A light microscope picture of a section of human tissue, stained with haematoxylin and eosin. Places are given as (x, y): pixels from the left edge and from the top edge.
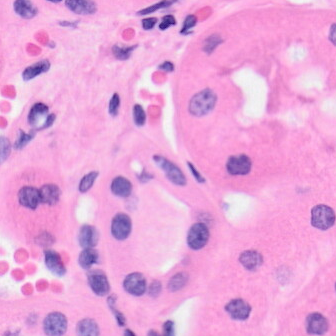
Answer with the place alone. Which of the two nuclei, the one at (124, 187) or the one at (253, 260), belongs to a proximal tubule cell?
(253, 260)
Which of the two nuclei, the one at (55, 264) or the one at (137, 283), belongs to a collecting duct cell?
(137, 283)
